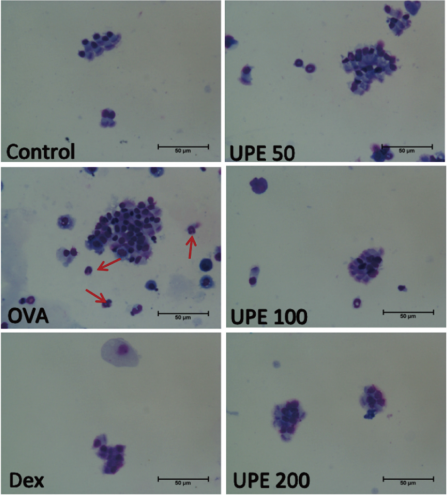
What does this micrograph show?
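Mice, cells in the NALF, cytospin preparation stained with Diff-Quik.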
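The clumps hold many cells with dark purple, rounded nuclei crowded together, their boundaries hard to make out. Around them lie single small round cells, some with pale blue cytoplasm and others with reddish-pink cytoplasm around a dark purple nucleus. One field is more crowded than the rest, and there red arrows point to several of the pink-tinged single cells. These are eosinophils, set apart by their pink cytoplasm beside the purple-stained nuclei of the clustered cells.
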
